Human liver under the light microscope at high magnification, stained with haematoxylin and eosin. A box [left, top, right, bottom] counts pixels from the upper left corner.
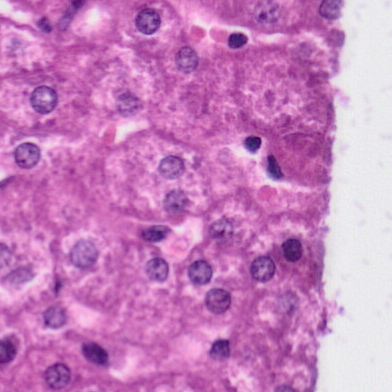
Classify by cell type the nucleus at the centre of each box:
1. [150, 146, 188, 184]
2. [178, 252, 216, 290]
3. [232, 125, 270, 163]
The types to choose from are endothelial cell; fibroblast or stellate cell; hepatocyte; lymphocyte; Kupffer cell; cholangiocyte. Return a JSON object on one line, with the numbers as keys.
{"1": "hepatocyte", "2": "hepatocyte", "3": "lymphocyte"}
